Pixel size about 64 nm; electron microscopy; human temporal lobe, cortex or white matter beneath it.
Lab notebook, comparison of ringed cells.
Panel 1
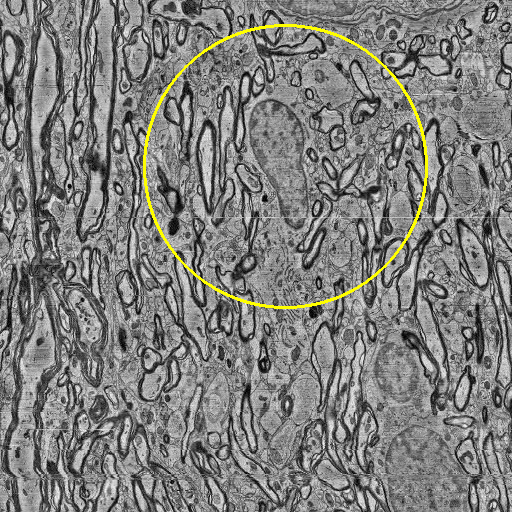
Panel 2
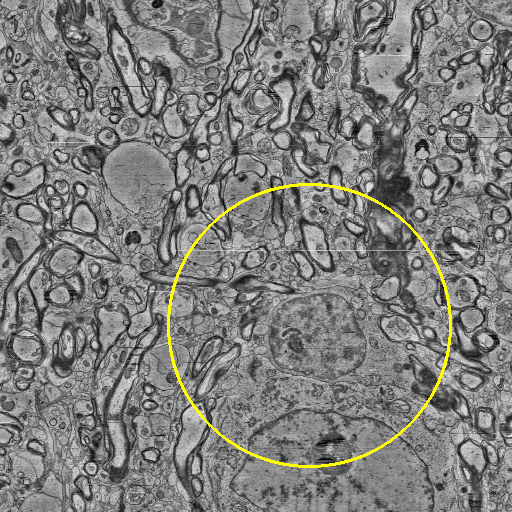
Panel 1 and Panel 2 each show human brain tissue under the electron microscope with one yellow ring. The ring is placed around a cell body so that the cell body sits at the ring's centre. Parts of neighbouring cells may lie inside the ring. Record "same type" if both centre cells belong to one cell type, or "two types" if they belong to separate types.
two types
